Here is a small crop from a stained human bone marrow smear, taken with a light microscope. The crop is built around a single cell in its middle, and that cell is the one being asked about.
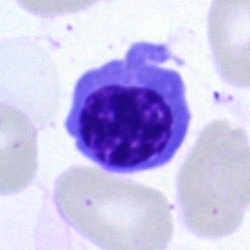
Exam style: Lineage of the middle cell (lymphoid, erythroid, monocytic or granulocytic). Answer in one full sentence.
The centered cell should be recorded as belonging to the erythroid lineage.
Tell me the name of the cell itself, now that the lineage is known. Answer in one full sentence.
The cell centred in this crop is categorized as an erythroblast.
